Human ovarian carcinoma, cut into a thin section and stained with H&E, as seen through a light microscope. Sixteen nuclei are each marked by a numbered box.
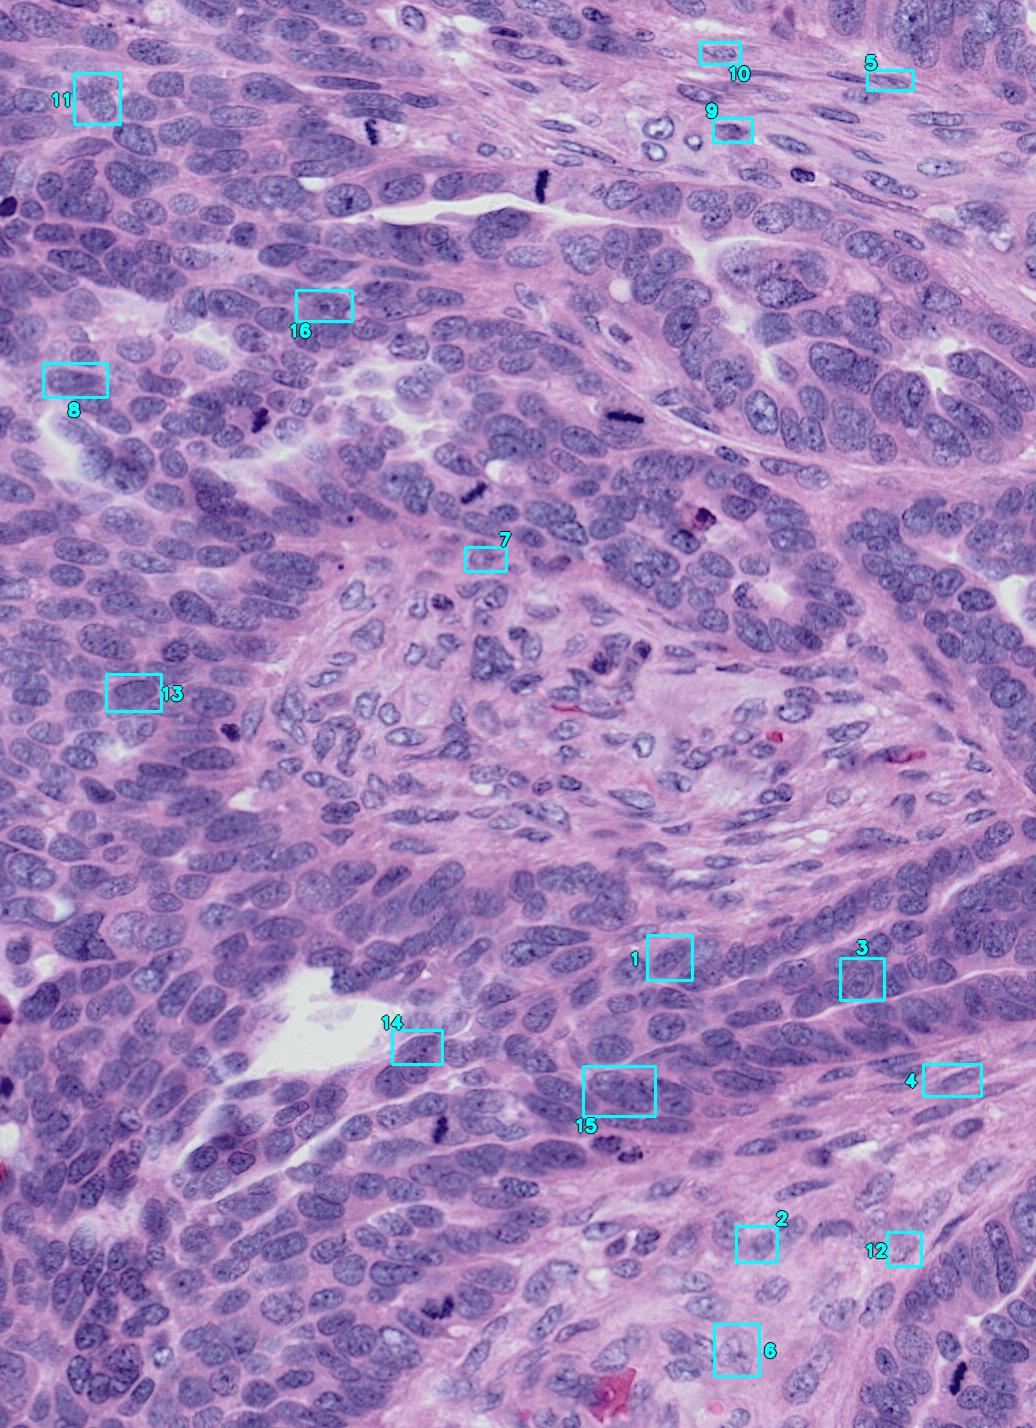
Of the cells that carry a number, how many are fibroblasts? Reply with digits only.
8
